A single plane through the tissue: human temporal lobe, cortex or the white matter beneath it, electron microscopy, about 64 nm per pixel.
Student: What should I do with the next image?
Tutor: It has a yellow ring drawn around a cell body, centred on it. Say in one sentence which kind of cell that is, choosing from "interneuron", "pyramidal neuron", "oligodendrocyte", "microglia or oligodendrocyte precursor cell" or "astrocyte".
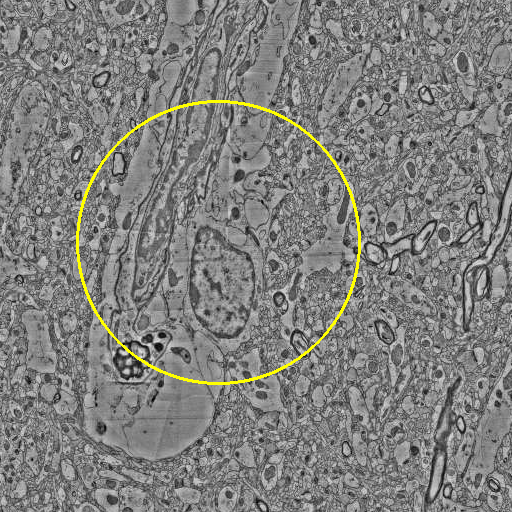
The ring's centre is occupied by a microglial cell or oligodendrocyte precursor cell.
